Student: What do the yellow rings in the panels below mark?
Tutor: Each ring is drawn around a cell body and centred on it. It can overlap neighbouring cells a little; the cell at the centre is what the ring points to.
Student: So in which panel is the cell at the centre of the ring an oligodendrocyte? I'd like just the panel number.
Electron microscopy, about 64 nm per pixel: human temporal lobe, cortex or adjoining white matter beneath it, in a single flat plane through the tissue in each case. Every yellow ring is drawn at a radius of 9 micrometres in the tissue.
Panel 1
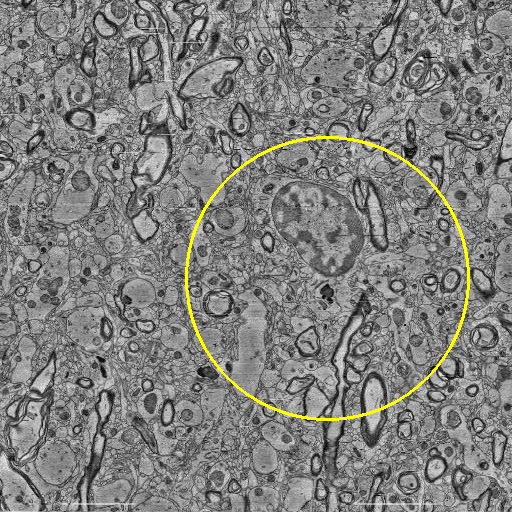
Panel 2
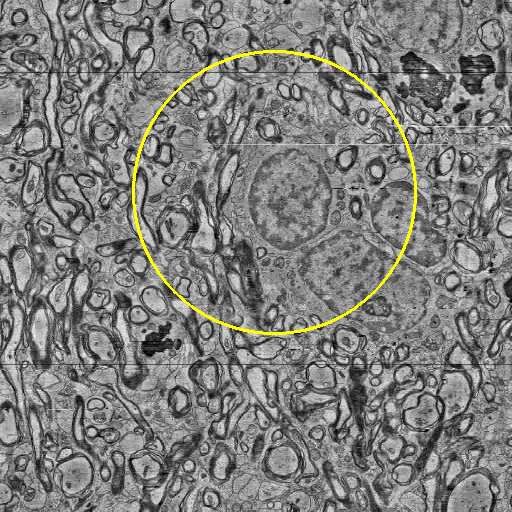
2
